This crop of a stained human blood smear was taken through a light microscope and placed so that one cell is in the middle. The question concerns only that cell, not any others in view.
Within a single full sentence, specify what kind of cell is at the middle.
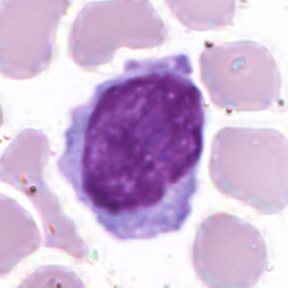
Answering briefly, the cell in the middle is a plasma cell.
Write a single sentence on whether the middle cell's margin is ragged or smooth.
Ragged or projecting, the border of this cell departs from a smooth contour.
